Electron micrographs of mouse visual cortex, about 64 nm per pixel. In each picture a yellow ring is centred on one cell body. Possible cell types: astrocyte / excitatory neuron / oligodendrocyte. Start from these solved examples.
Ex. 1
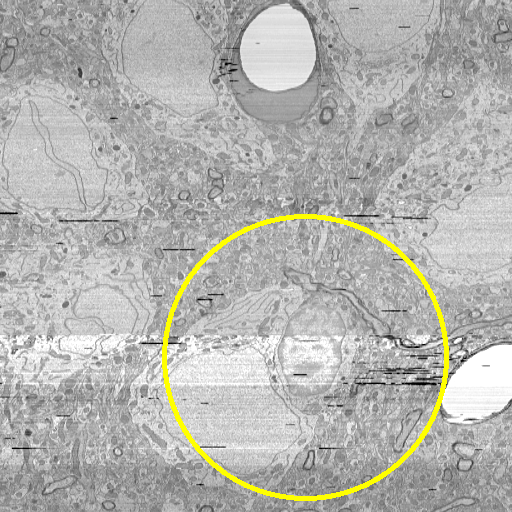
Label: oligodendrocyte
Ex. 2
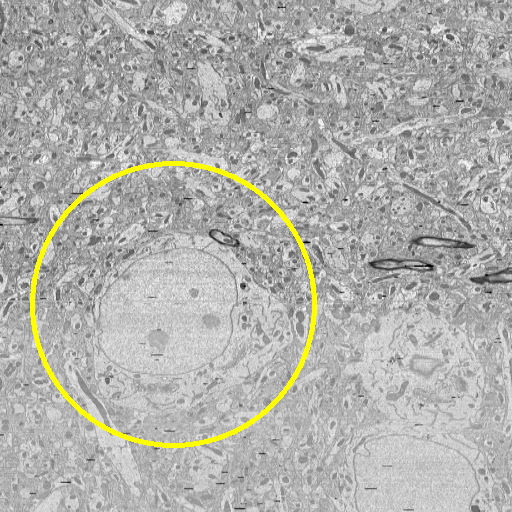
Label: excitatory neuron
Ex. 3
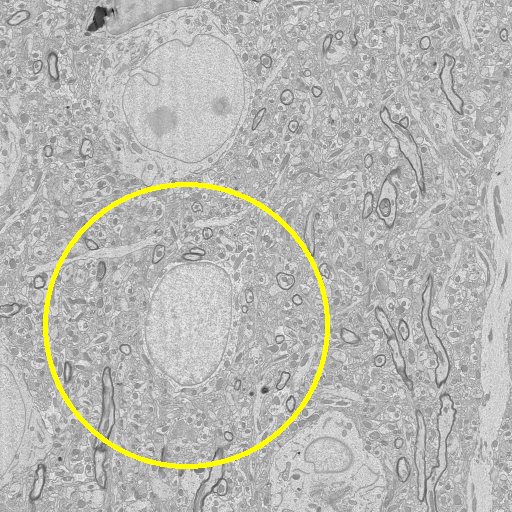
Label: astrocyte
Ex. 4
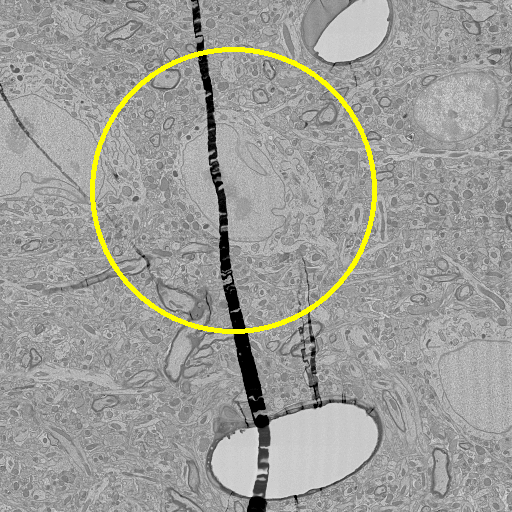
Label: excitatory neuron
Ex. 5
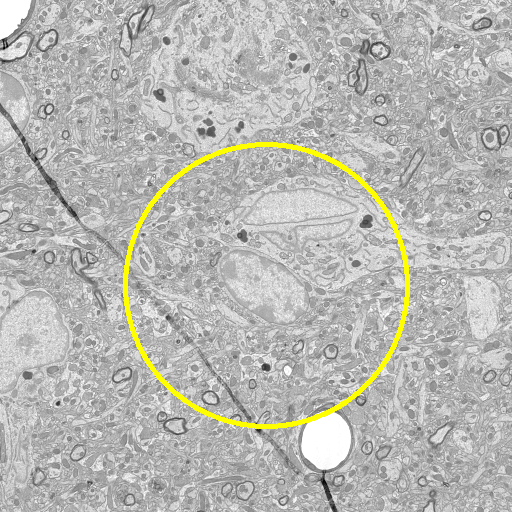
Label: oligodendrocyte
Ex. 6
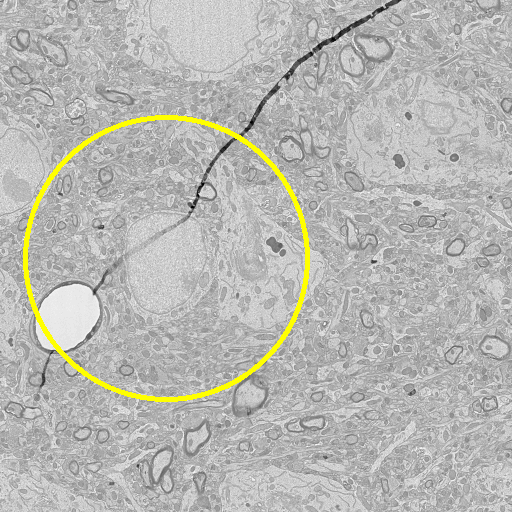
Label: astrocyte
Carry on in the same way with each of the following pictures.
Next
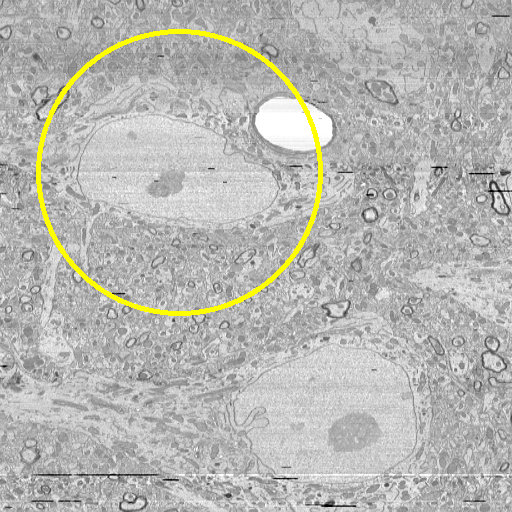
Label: excitatory neuron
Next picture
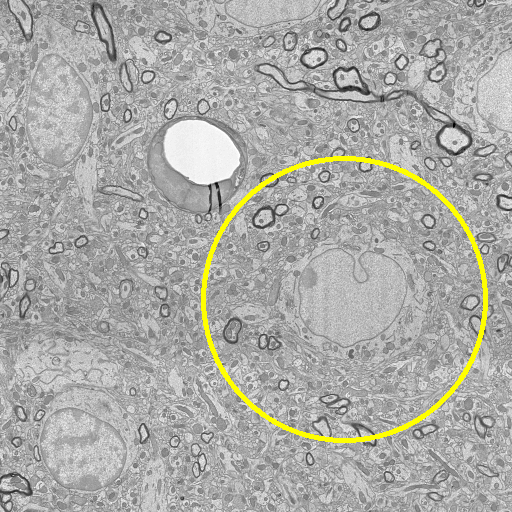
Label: excitatory neuron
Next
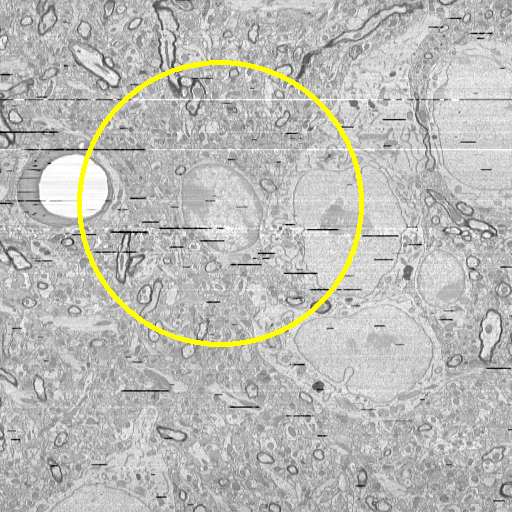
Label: oligodendrocyte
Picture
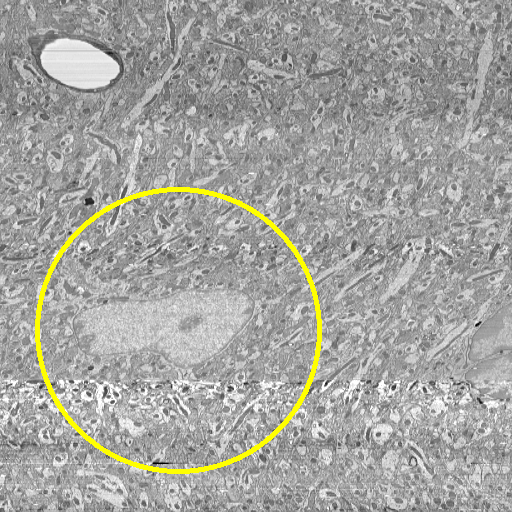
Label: astrocyte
